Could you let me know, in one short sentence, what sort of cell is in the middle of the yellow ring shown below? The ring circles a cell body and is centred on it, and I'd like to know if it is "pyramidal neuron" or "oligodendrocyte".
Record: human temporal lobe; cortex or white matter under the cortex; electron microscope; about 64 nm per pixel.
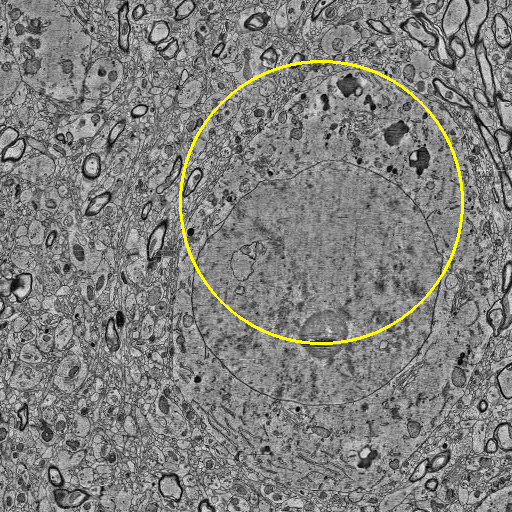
The ring circles the cell body of a pyramidal neuron.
